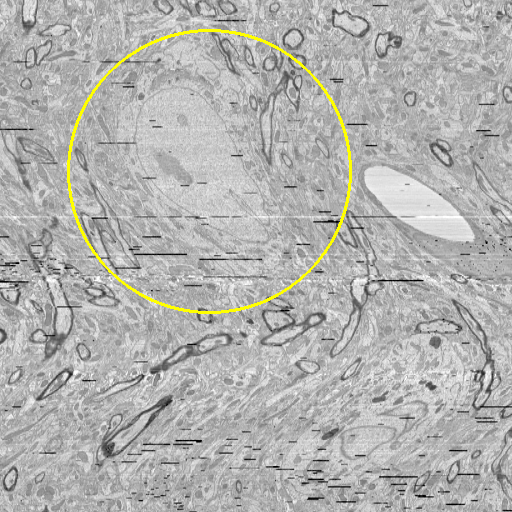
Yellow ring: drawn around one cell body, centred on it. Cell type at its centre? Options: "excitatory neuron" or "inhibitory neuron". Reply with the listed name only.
excitatory neuron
